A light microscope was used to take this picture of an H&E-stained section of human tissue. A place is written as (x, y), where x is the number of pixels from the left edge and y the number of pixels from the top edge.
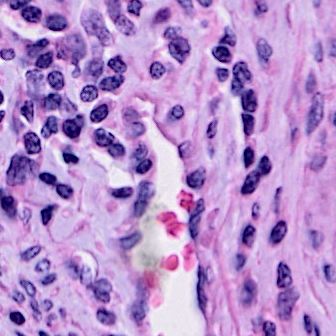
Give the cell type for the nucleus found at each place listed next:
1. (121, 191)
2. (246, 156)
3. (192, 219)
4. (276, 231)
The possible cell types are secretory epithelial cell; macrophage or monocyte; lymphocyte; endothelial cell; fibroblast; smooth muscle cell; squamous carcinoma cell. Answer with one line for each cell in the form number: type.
1: lymphocyte
2: lymphocyte
3: endothelial cell
4: lymphocyte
